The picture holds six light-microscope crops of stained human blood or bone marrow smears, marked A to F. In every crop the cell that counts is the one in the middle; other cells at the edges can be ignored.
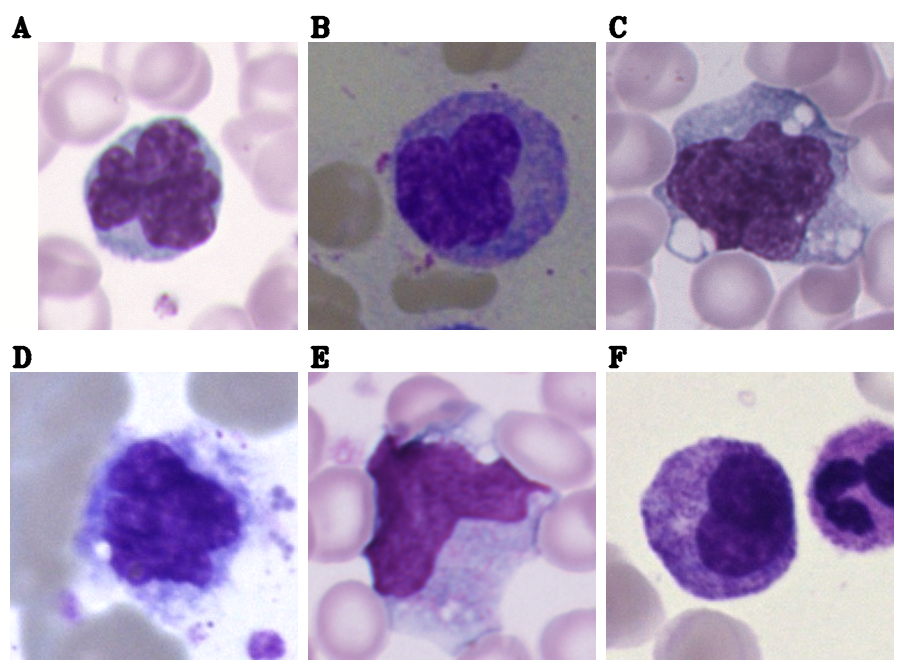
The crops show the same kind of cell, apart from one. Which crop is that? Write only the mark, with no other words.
F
